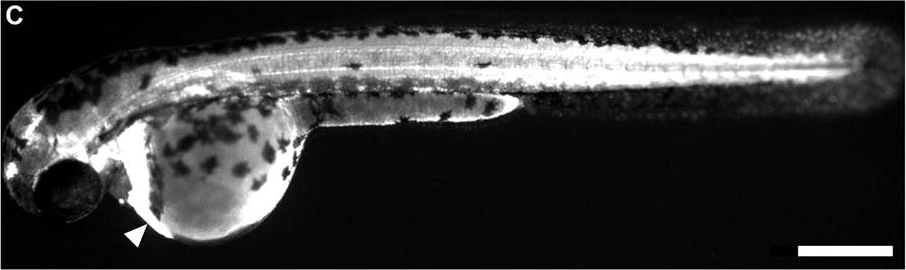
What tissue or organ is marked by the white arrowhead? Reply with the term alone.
Hatching gland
